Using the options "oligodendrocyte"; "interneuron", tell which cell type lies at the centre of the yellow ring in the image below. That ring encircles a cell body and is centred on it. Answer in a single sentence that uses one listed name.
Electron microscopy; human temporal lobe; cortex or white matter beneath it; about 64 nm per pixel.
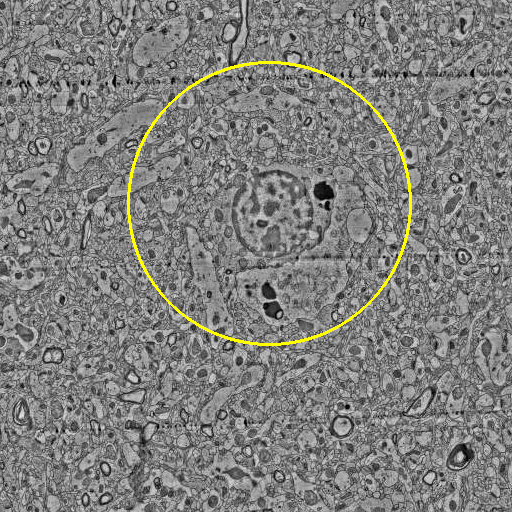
At the centre of the yellow ring lies the body of an oligodendrocyte.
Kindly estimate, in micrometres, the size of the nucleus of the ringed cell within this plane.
In this plane, approximately 5 micrometres across.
